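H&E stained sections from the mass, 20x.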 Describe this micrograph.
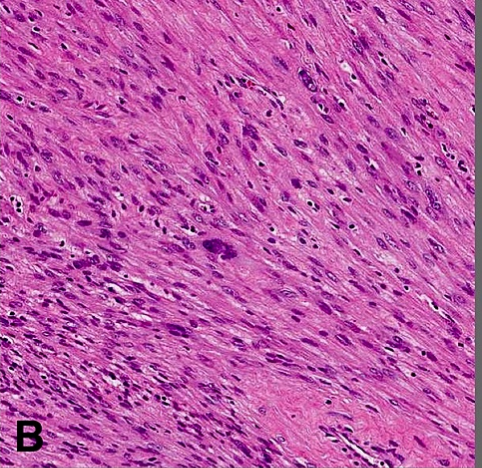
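Neoplastic spindle cells run in parallel streams with elongated nuclei and eosinophilic cytoplasm. The nuclei vary in size and staining, and a few enlarged, hyperchromatic, irregular forms stand out among smaller ones. Scattered clear spaces lie between the cells.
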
